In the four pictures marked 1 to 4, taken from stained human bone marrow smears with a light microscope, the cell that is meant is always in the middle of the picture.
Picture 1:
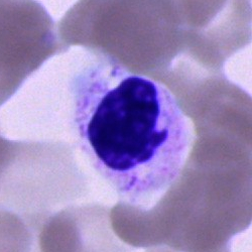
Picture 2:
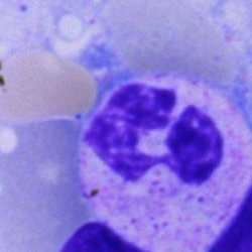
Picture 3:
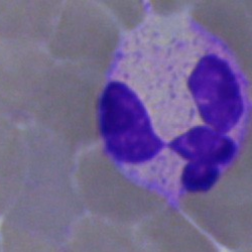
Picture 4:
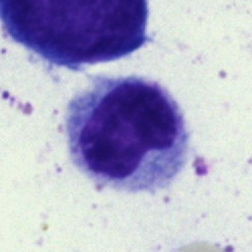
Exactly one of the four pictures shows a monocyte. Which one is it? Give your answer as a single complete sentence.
The monocyte is the one in picture 4.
